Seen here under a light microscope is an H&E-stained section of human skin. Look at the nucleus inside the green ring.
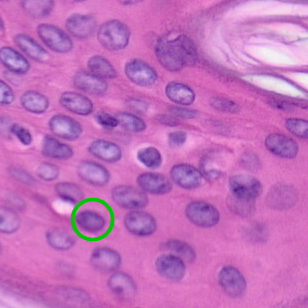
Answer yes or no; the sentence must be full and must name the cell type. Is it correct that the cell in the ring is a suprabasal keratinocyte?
Yes, it is accurate to say that the cell in the ring is a suprabasal keratinocyte.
